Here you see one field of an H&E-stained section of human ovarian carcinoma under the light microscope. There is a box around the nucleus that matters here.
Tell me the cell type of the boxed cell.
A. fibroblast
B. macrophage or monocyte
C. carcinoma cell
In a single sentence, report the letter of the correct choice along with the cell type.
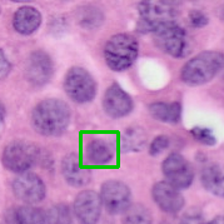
Option C properly identifies the boxed cell as a carcinoma cell.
